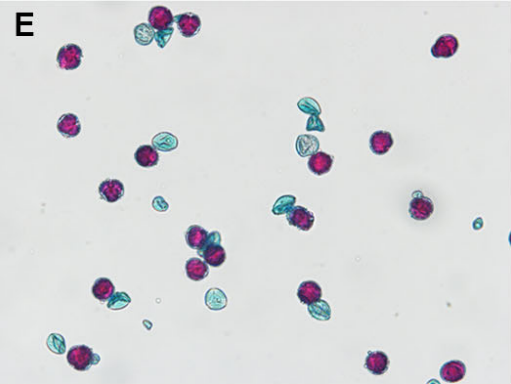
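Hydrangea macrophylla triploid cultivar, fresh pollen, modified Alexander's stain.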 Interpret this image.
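Round grains with a granular pink to magenta interior and a thin dark rim are mixed with many grains that are flattened, folded or cup-shaped and stain only pale blue-green. Several of the pink grains lie directly against collapsed green grains. The pink grains look mottled rather than uniformly dark.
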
